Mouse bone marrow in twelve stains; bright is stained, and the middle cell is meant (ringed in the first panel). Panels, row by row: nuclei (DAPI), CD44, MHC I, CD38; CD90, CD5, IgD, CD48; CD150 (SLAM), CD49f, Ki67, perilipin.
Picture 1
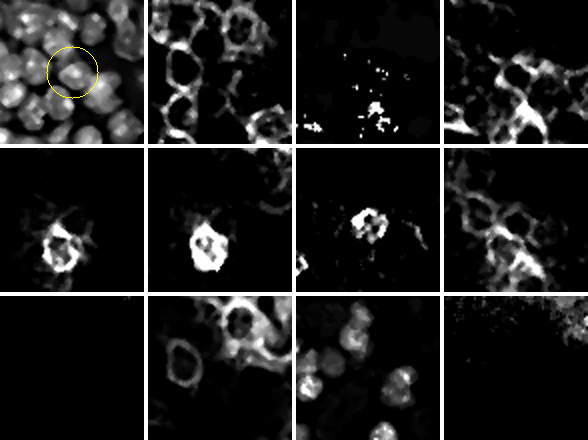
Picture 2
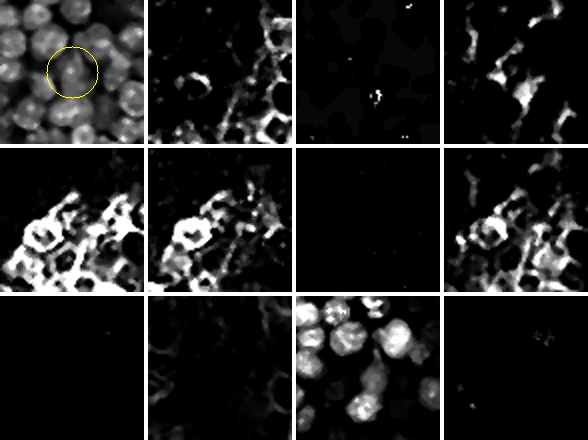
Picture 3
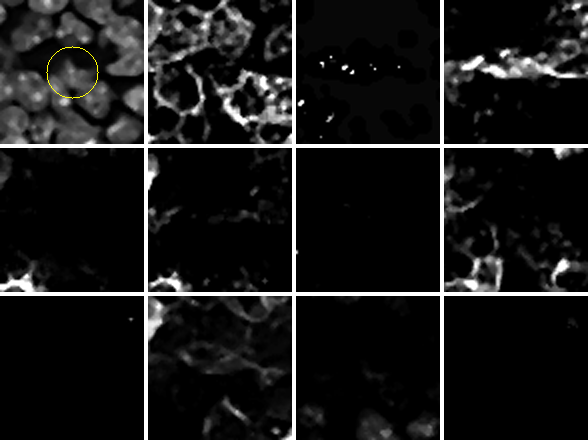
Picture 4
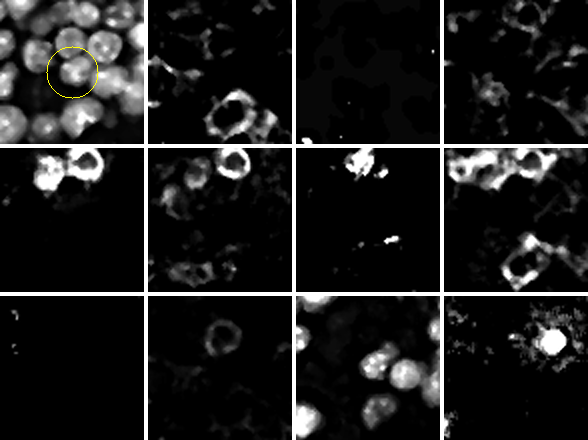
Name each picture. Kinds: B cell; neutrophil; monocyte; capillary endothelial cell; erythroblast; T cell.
1: B cell
2: T cell
3: capillary endothelial cell
4: erythroblast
